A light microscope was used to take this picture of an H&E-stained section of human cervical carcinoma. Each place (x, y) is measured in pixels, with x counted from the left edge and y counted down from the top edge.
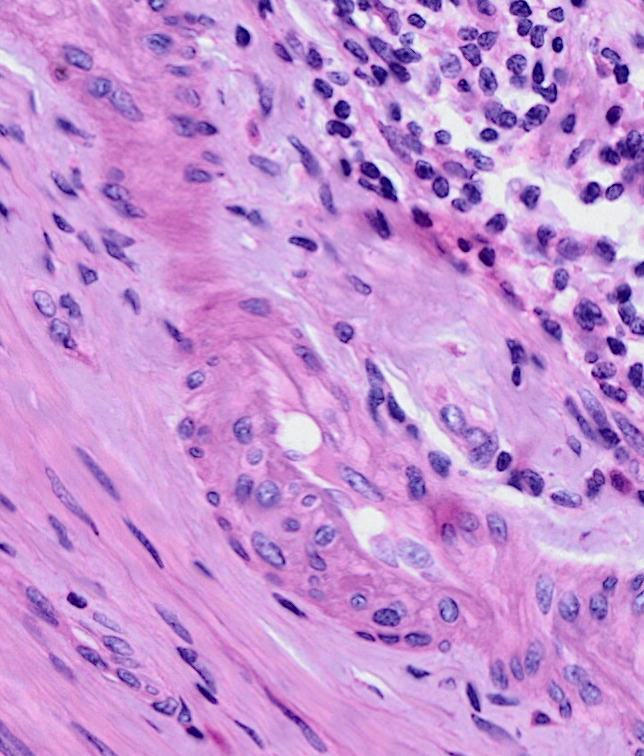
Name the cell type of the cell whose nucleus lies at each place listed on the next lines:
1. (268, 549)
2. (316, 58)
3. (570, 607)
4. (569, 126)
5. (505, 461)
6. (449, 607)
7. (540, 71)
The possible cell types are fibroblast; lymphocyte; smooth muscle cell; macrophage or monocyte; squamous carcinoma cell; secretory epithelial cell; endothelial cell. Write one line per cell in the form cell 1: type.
cell 1: smooth muscle cell
cell 2: lymphocyte
cell 3: smooth muscle cell
cell 4: lymphocyte
cell 5: lymphocyte
cell 6: smooth muscle cell
cell 7: lymphocyte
